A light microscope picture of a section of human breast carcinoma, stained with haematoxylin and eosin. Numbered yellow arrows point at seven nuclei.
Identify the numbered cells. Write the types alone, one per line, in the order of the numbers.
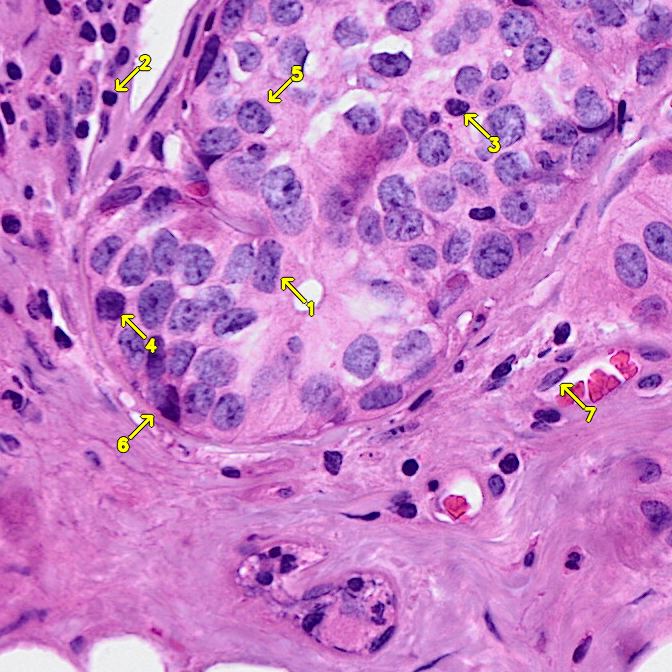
carcinoma cell
lymphocyte
lymphocyte
carcinoma cell
carcinoma cell
carcinoma cell
endothelial cell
